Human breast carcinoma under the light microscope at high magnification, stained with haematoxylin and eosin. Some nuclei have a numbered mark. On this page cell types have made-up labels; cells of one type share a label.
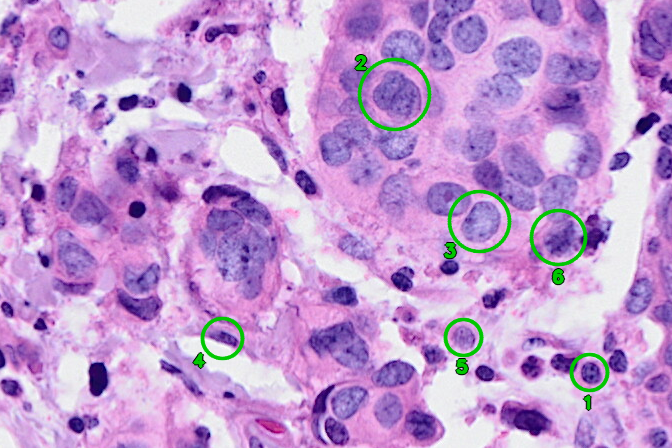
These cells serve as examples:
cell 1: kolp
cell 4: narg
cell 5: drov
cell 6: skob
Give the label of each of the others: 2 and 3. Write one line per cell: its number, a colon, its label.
2: skob
3: skob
